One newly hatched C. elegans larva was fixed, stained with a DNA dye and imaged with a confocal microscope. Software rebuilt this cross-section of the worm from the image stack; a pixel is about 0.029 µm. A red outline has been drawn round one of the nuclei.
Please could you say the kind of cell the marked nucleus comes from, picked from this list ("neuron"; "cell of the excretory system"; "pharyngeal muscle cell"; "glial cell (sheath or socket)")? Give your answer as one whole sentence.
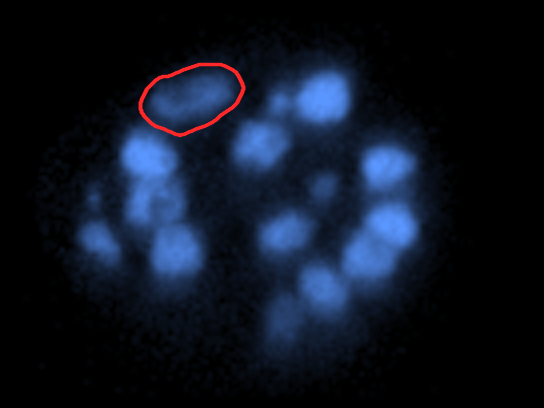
It is the nucleus of a glial cell (sheath or socket).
